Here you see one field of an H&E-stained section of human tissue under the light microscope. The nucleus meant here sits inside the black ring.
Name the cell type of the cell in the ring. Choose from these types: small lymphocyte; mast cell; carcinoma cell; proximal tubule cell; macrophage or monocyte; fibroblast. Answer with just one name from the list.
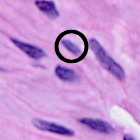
fibroblast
